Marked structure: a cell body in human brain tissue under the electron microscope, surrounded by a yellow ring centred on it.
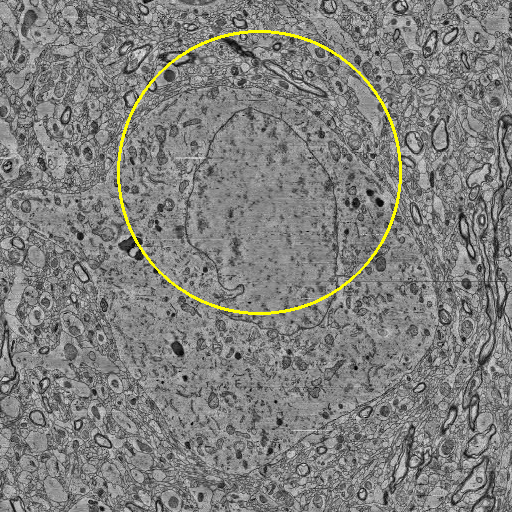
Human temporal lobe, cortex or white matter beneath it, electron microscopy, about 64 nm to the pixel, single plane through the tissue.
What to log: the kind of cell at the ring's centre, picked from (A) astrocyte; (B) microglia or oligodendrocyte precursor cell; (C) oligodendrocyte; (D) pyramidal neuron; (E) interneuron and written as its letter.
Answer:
D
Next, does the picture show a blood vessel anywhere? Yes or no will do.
No, none is visible.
